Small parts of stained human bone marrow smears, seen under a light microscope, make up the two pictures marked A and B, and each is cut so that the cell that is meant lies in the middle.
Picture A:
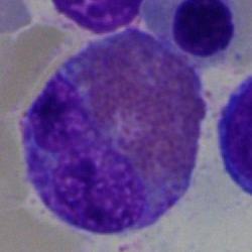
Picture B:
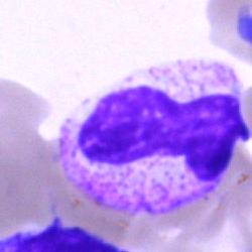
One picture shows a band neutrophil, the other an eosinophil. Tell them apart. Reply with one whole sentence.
Picture A is of an eosinophil, and picture B is of a band neutrophil.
